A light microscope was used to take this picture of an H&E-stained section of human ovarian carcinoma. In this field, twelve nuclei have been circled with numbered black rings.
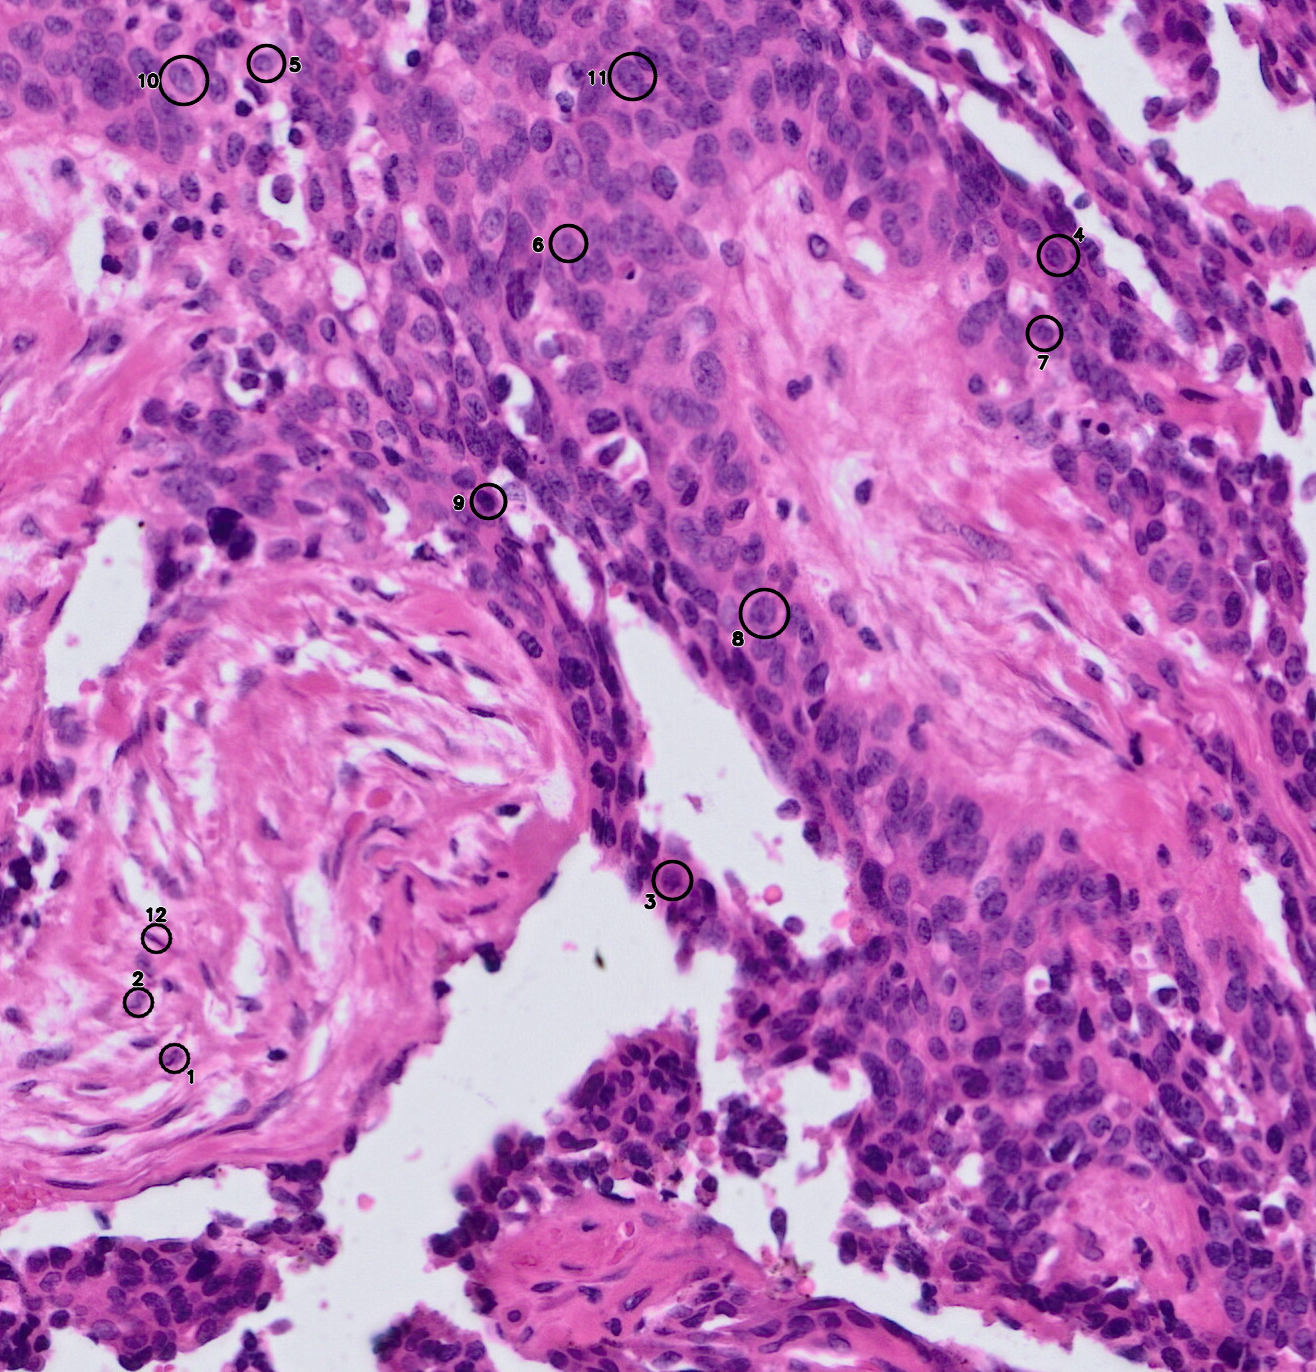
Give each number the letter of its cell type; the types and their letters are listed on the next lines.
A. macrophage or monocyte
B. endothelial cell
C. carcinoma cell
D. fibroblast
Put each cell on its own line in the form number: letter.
1: D
2: D
3: C
4: C
5: A
6: C
7: C
8: C
9: C
10: A
11: C
12: D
